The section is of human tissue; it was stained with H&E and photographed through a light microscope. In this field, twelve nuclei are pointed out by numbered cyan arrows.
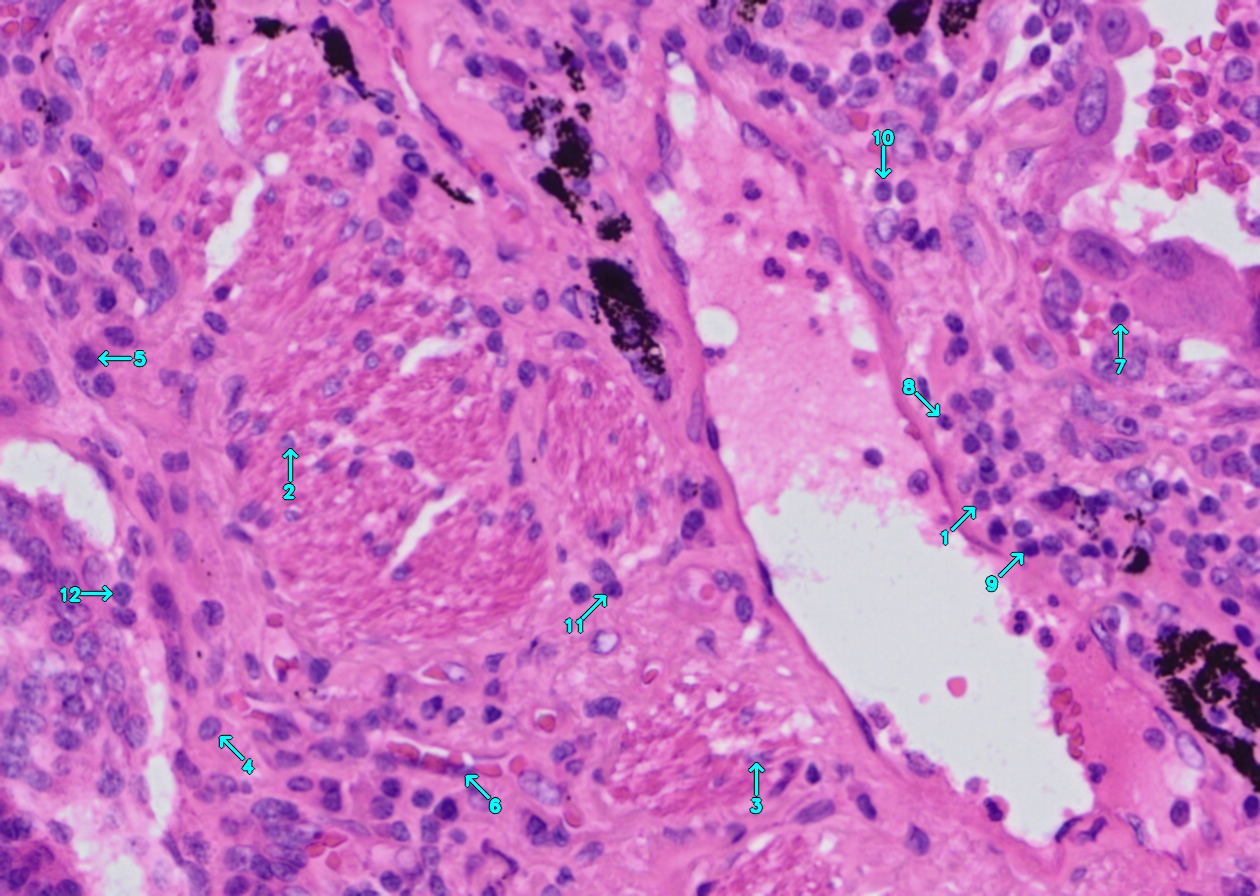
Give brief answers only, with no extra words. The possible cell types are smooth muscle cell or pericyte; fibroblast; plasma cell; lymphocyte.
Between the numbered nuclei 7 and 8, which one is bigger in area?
7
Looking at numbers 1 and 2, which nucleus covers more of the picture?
1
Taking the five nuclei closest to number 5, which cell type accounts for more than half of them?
fibroblast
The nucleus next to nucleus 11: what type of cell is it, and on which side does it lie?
a fibroblast above and to the left of nucleus 11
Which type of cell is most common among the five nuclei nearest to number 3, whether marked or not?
smooth muscle cell or pericyte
